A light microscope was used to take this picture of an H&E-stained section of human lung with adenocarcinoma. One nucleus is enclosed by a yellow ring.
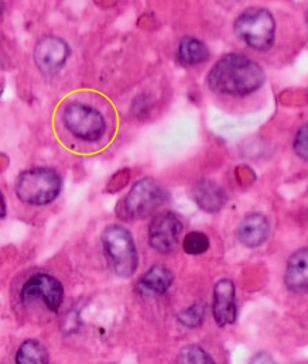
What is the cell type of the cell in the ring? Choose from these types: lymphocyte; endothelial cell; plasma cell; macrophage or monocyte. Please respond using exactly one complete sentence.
The identity of the cell in the ring: it is a macrophage or monocyte.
